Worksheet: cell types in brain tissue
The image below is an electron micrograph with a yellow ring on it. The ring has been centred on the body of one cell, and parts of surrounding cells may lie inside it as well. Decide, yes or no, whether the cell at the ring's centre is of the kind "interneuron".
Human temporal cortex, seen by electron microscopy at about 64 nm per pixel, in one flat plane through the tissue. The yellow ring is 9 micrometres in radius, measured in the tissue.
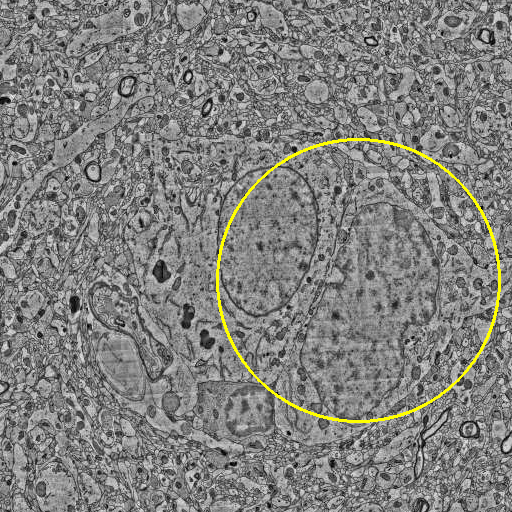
yes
